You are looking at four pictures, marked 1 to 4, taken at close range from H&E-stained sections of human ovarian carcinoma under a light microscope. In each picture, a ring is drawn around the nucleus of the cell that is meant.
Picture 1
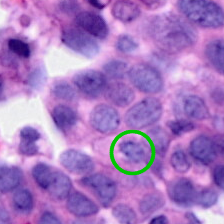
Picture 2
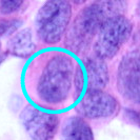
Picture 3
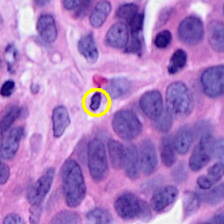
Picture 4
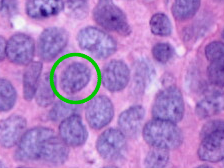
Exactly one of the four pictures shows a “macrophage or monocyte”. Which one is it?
1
